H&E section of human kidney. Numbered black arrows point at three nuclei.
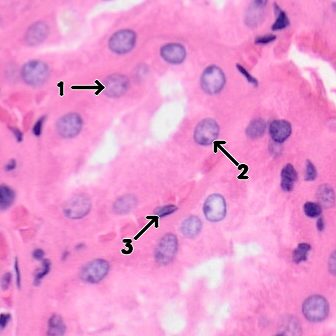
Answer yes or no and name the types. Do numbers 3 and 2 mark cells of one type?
No, cell 3 is an endothelial cell and cell 2 is a proximal tubule cell.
